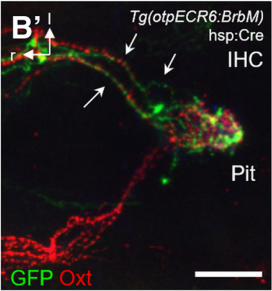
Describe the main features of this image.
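Several thin, varicose fibres run from the upper left toward a dense, rounded terminal field on the right. The terminal field is packed with red and green puncta, with yellowish spots where the two overlap. Single green fibres can be traced running alongside the red ones. Further red beaded fibres run along the lower part of the image.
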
